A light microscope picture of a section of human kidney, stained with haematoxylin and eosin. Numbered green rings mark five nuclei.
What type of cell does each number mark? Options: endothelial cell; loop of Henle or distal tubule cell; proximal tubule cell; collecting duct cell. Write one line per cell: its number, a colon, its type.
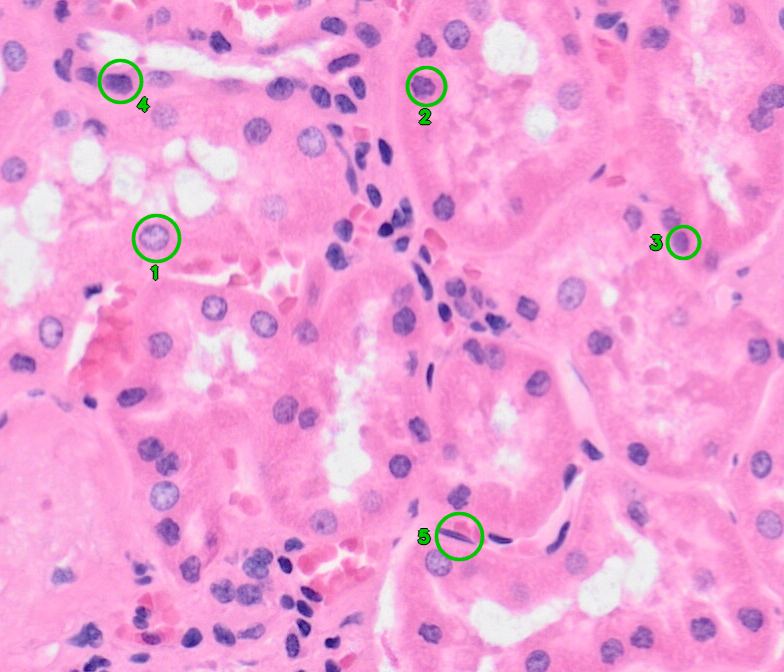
1: proximal tubule cell
2: proximal tubule cell
3: proximal tubule cell
4: collecting duct cell
5: endothelial cell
